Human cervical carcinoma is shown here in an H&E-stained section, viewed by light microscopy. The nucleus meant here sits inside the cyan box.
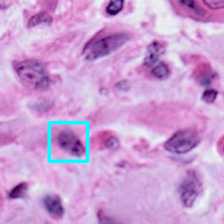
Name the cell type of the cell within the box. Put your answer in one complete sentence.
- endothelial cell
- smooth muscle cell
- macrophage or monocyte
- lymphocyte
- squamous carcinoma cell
Students should answer that the cell within the box is a macrophage or monocyte.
